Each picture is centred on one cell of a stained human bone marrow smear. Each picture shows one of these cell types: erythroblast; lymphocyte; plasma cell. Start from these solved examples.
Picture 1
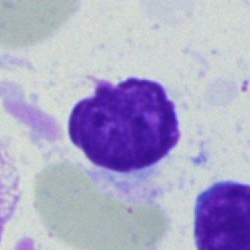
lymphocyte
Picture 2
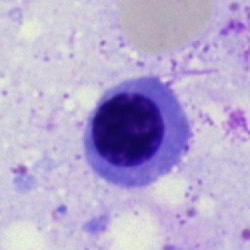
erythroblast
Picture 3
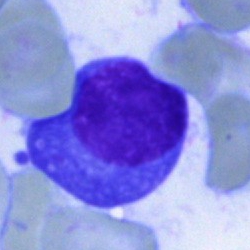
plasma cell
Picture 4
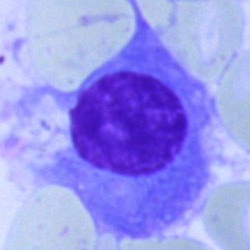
plasma cell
